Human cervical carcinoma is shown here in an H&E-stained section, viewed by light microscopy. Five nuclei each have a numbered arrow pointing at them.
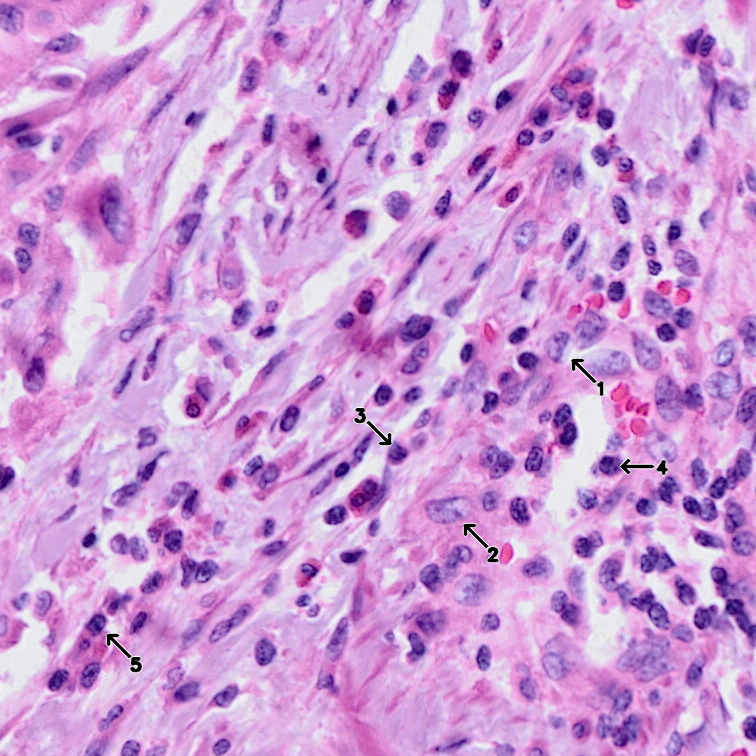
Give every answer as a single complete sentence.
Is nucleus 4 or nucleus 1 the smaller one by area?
With nucleus 1 about 1.5 times its size, nucleus 4 is the smaller of the two.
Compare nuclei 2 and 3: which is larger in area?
The larger nucleus is 2, at roughly 2.5 times the area of 3.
